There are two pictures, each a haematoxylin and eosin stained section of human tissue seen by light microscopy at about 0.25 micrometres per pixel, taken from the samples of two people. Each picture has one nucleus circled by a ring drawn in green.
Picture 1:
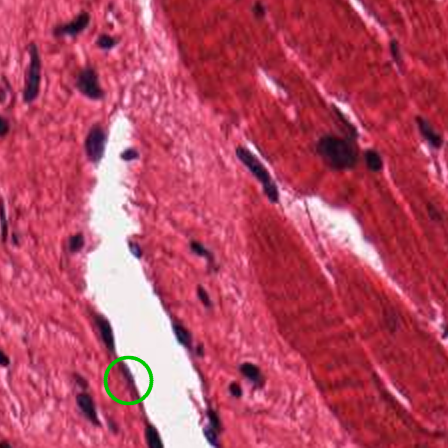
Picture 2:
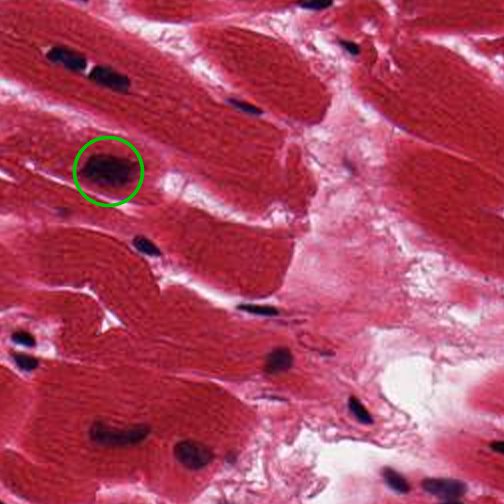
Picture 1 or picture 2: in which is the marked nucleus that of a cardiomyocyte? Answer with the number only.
2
